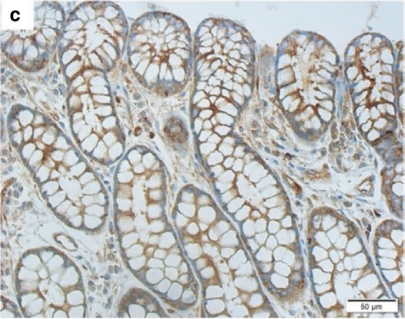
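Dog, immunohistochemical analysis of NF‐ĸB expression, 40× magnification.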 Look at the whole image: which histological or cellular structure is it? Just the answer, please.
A: Colonic crypts.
